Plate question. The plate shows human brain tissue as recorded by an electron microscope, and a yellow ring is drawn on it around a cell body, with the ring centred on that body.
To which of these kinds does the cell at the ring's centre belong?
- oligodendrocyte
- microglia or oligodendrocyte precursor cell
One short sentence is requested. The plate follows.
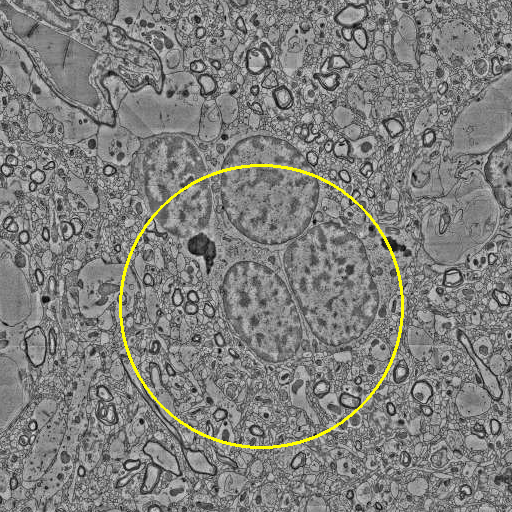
The cell at the ring's centre is an oligodendrocyte.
